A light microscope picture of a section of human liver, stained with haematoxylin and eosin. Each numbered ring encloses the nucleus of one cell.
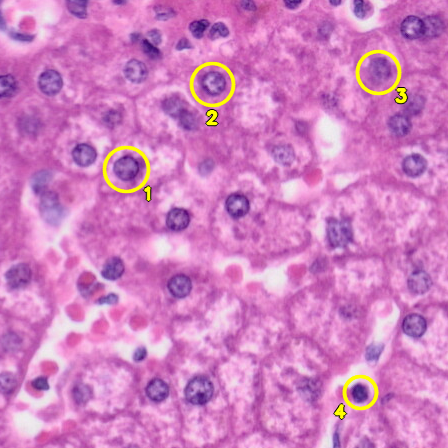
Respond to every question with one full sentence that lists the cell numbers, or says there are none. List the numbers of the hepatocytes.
Cells numbered 1, 2 and 3 belong to the group of hepatocytes.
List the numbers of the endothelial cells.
In short, endothelial cells do not occur among the numbered cells.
